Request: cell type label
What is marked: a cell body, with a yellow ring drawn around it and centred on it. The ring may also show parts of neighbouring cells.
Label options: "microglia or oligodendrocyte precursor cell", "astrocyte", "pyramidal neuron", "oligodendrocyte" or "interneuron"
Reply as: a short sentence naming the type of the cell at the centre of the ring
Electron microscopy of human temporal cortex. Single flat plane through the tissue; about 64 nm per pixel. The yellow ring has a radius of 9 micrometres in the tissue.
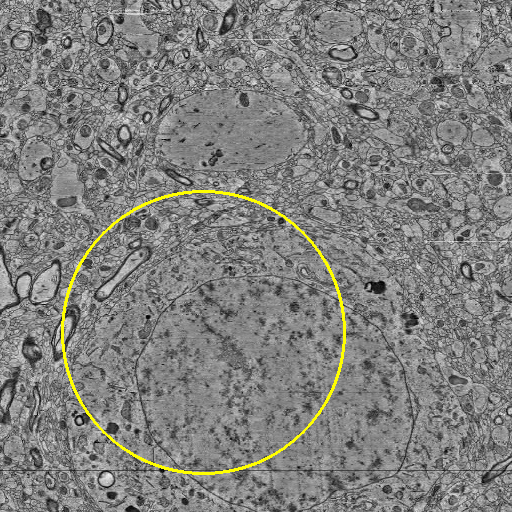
The marked cell body is that of a pyramidal neuron.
